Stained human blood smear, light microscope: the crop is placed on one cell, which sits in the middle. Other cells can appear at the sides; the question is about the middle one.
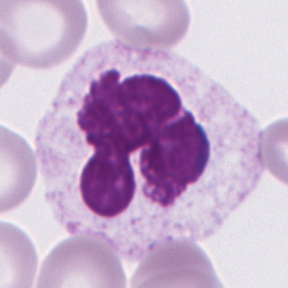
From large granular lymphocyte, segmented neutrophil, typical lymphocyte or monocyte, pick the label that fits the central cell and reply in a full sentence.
In the middle of this smear crop is a segmented neutrophil.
